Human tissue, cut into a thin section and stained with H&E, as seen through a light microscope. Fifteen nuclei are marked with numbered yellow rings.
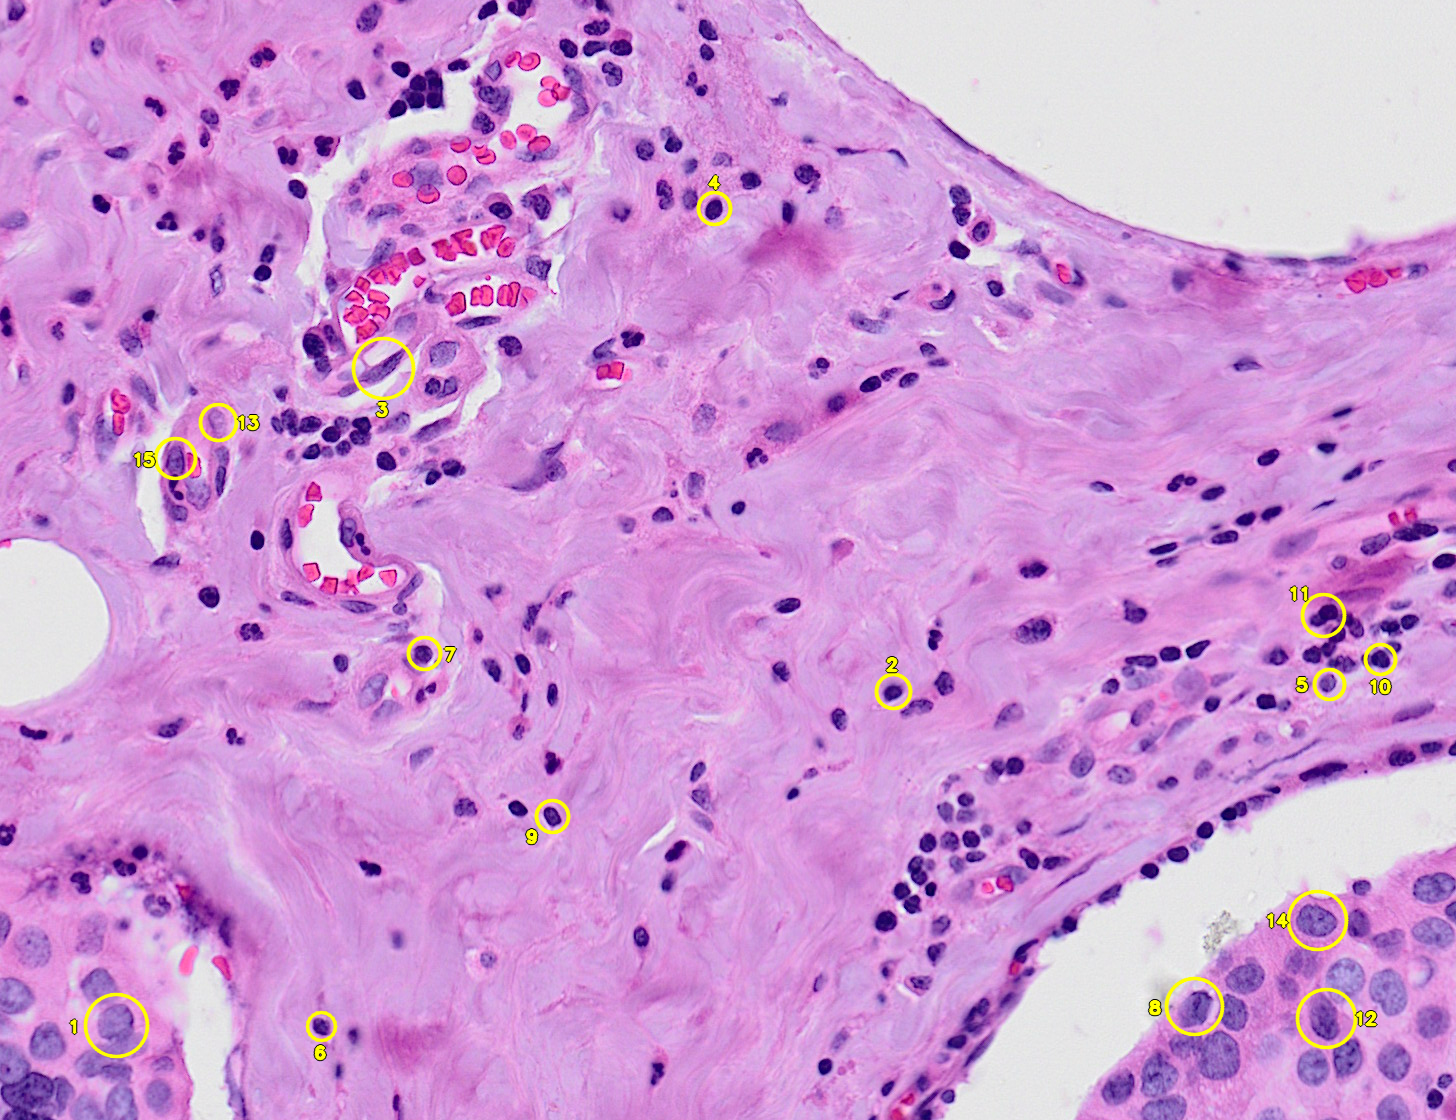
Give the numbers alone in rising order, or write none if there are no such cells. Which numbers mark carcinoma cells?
1, 8, 12, 14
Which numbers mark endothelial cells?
3, 13, 15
